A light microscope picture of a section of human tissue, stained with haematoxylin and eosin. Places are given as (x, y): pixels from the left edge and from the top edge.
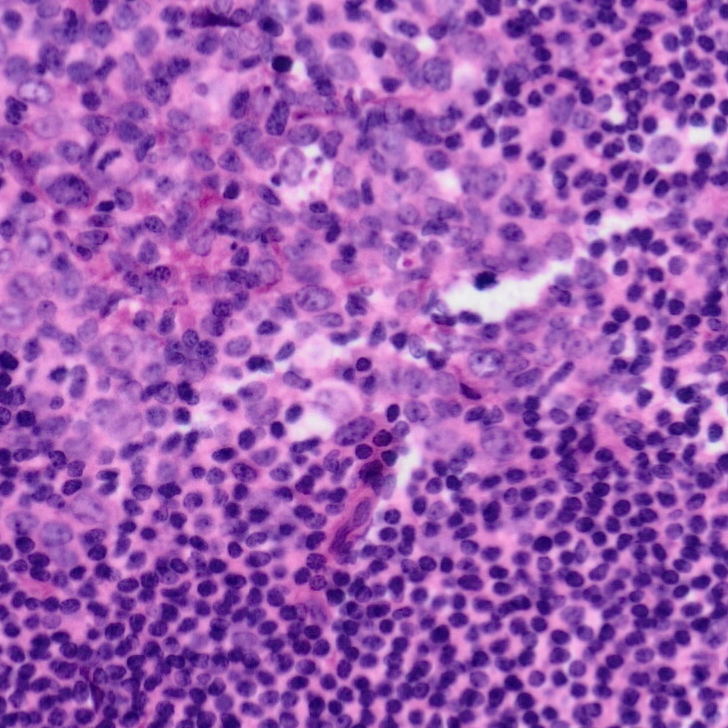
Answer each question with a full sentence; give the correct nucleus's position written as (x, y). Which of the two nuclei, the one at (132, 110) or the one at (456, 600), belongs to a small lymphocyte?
The one belonging to a small lymphocyte is the nucleus at (456, 600), not the other.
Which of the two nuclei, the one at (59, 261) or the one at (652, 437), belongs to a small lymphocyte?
That would be the nucleus at (652, 437); it belongs to a small lymphocyte.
